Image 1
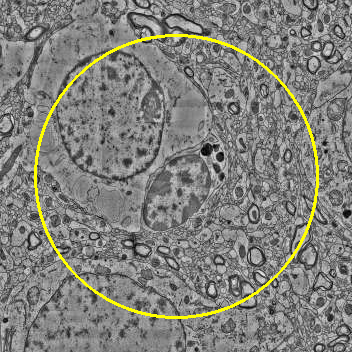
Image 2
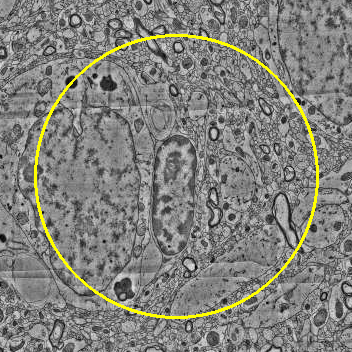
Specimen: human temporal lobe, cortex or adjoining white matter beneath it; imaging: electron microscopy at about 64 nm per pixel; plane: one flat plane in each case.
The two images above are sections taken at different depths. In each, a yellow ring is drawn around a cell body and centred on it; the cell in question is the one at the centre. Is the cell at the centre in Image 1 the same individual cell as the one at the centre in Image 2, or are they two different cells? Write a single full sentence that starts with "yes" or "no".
No, the yellow rings are placed on two separate cells.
